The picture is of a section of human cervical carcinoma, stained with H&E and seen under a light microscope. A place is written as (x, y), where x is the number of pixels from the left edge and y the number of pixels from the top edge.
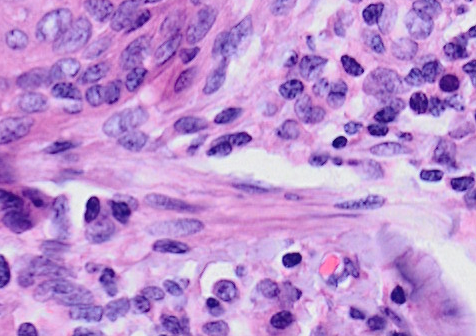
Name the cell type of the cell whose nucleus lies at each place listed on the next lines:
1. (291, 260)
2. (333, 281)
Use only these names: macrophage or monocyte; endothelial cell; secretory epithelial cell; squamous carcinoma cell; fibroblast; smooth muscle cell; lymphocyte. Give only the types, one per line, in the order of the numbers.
lymphocyte
endothelial cell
